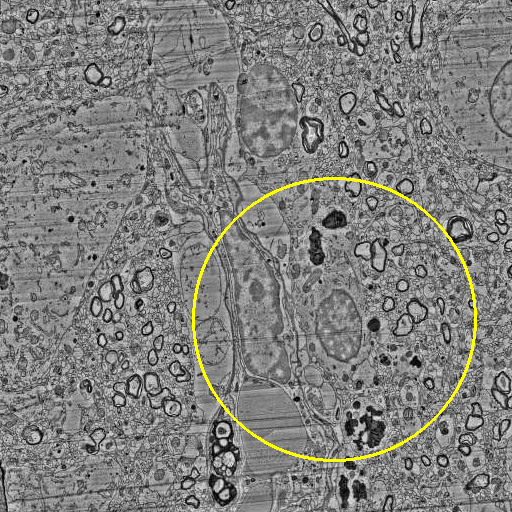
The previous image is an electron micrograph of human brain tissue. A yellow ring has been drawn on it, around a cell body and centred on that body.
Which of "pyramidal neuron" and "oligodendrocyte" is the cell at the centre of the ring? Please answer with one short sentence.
The cell body at the centre of the ring belongs to an oligodendrocyte.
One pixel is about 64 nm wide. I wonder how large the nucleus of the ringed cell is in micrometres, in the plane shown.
The nucleus is approximately 4 micrometres long but only about 3 wide, clearly longer than it is wide in this plane.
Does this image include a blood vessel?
Yes, a blood vessel shows in the picture.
